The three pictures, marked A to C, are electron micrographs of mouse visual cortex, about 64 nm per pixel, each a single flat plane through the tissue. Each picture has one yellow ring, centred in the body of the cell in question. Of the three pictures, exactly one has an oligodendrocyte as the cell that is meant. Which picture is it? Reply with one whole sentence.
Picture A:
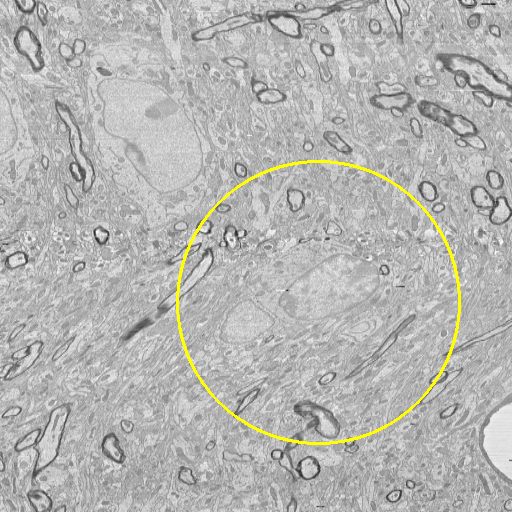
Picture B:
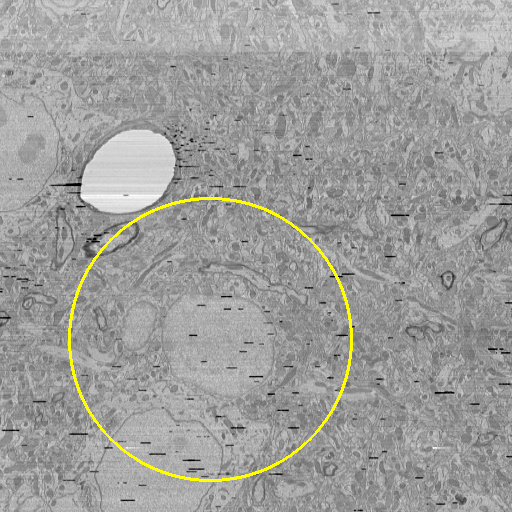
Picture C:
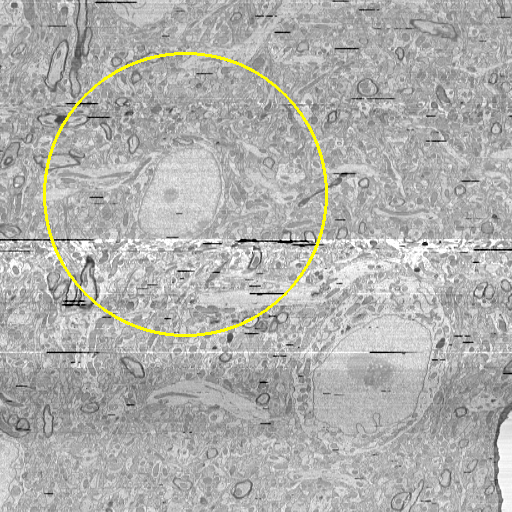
The oligodendrocyte is the one in picture A.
